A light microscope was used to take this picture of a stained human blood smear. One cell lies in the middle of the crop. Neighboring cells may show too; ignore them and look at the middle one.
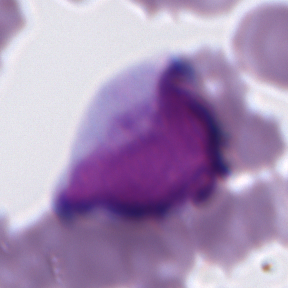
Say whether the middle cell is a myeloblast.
yes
